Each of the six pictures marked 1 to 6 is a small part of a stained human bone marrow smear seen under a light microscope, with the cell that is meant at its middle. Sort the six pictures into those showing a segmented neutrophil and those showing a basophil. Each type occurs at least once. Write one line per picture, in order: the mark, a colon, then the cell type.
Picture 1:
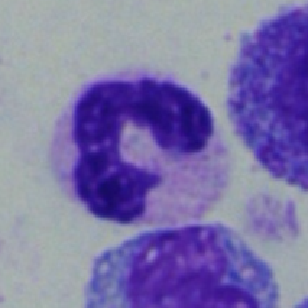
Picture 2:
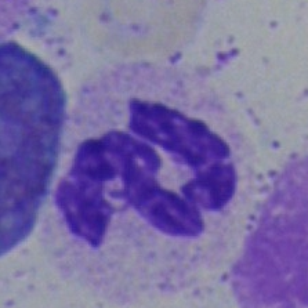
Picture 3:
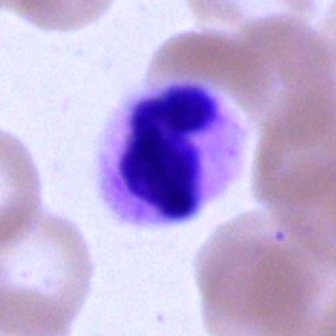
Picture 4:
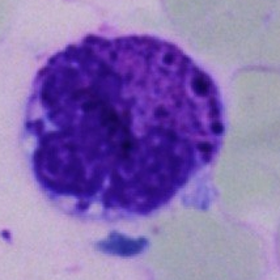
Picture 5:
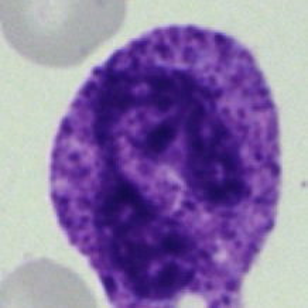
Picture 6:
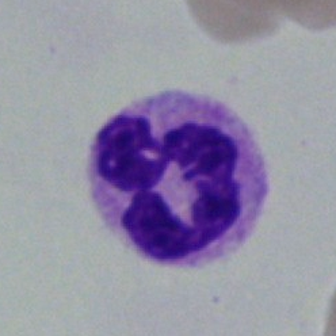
1: segmented neutrophil
2: segmented neutrophil
3: segmented neutrophil
4: basophil
5: basophil
6: segmented neutrophil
